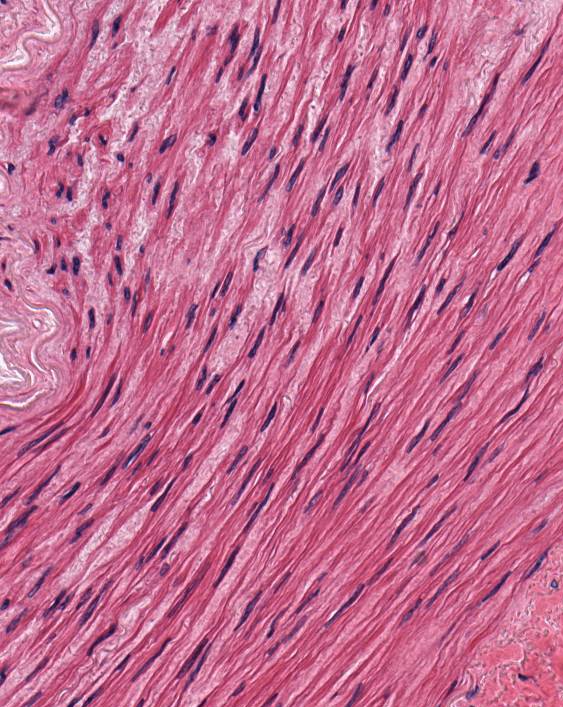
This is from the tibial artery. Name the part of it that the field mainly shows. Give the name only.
tunica media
